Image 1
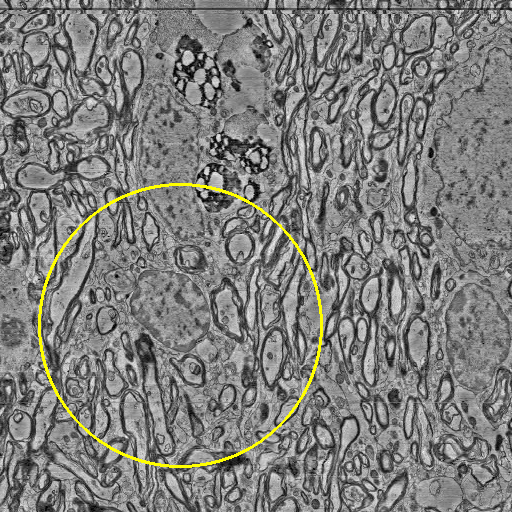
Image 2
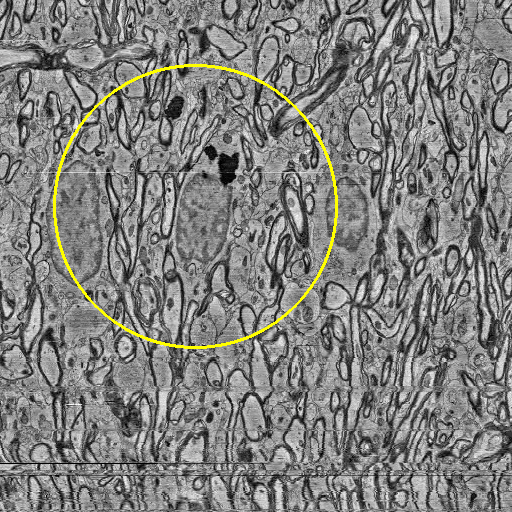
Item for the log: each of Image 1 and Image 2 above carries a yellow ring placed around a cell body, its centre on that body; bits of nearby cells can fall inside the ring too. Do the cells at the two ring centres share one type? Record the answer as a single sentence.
No, the two cells at the ring centres in Image 1 and Image 2 are of two types.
